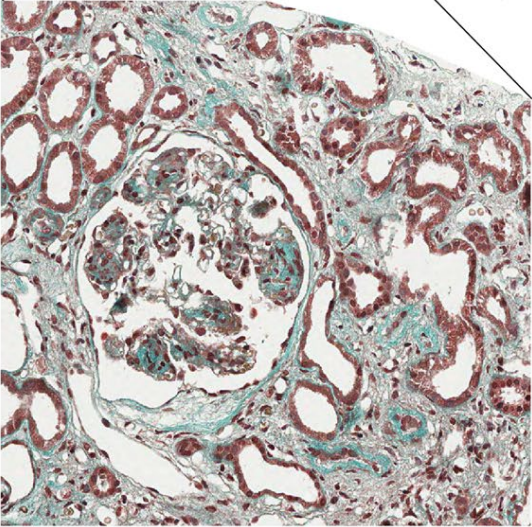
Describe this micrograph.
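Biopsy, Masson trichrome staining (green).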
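Kidney tissue with a glomerulus whose tuft is divided into lobules containing green-stained material, enclosed by a capsule with a surrounding layer of green-stained tissue. The tubules, lined by red-staining epithelium, are separated by a widened interstitium containing broad green-stained fibrous bands and scattered nuclei.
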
